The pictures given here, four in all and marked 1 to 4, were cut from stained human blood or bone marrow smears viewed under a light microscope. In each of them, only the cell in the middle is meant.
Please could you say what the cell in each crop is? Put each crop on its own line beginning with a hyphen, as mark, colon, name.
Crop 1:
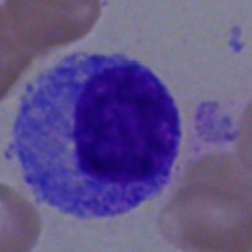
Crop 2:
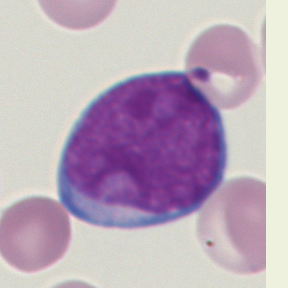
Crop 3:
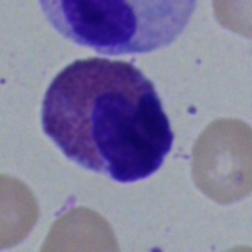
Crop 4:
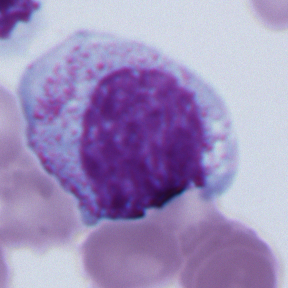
- 1: myelocyte
- 2: blast
- 3: eosinophil
- 4: myelocyte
